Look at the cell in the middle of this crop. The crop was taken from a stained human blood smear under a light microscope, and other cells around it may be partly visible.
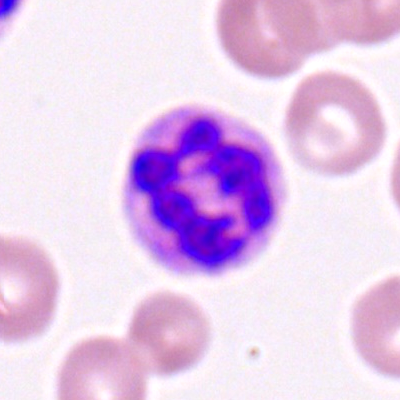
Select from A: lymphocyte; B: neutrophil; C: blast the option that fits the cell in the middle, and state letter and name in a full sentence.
Option B is correct here, and the cell in the middle is a neutrophil.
